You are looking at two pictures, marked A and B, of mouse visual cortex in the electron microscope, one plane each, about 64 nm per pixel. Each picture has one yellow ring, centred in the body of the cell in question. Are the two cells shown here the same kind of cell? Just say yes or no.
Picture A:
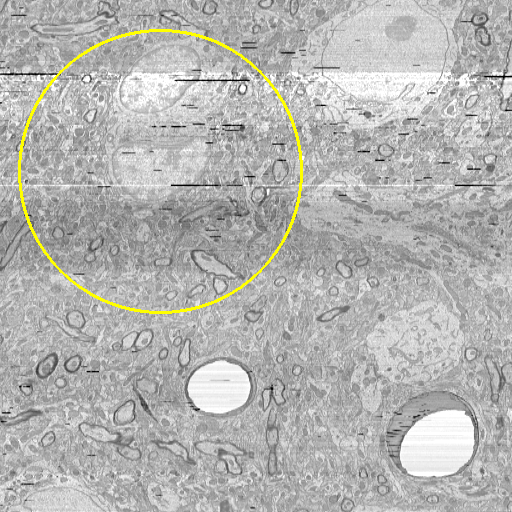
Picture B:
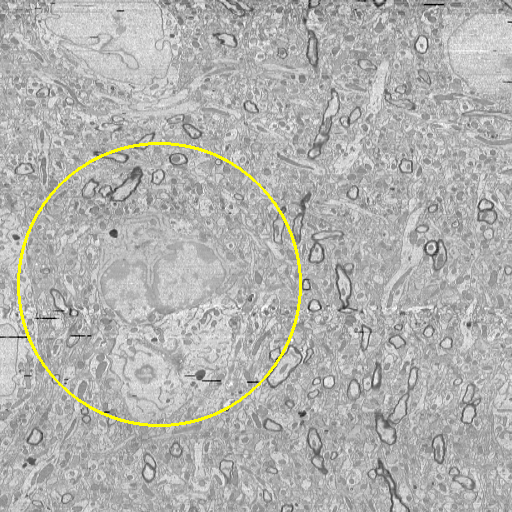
yes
